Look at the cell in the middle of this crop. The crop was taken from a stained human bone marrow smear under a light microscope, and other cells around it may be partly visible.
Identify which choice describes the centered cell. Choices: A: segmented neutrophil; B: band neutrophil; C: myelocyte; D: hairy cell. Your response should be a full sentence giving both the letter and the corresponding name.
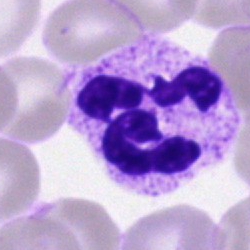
The cell at the centre, correctly named in option A, is a segmented neutrophil.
